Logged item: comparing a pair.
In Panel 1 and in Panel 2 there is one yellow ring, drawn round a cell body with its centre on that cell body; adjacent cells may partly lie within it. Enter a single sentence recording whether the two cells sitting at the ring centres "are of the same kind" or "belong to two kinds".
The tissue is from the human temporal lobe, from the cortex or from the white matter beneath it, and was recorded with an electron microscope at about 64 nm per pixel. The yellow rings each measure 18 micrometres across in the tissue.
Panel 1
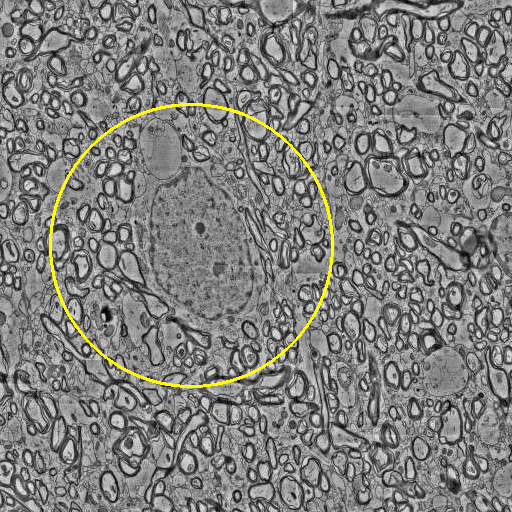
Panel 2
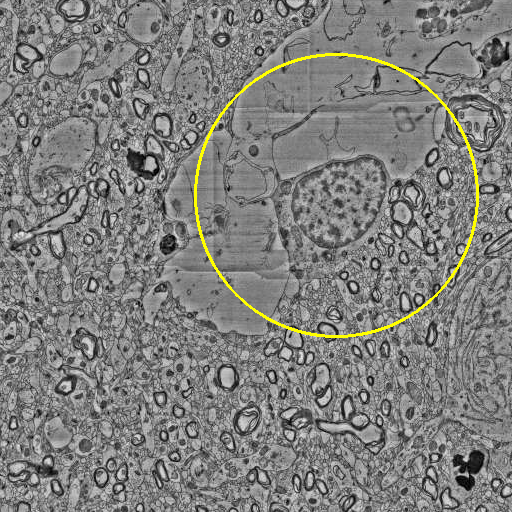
Logged: the cells centred in the rings of Panel 1 and Panel 2 belong to two kinds.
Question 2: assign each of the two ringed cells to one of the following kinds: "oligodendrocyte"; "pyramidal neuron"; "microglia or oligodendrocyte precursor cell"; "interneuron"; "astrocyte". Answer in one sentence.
The two cells are an astrocyte in the first picture and an oligodendrocyte in the second.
